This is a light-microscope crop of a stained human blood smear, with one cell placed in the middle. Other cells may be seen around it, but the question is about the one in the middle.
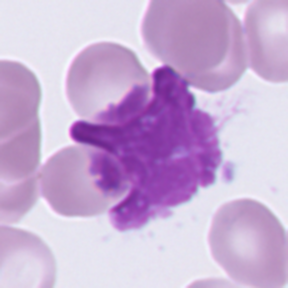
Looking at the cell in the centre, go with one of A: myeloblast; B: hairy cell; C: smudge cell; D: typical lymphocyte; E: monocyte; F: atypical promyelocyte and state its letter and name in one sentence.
Of the options given, C is correct, the central cell being a smudge cell.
